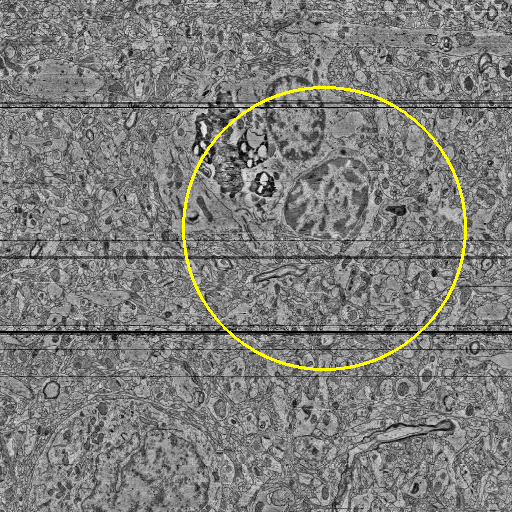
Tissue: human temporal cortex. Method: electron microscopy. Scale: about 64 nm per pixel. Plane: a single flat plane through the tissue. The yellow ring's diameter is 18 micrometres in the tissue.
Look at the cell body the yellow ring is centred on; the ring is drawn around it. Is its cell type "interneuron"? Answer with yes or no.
No, its cell type is another.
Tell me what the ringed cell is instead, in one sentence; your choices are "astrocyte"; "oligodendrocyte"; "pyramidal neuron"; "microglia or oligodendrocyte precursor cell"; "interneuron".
The ring's central cell is a microglial cell or oligodendrocyte precursor cell instead.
